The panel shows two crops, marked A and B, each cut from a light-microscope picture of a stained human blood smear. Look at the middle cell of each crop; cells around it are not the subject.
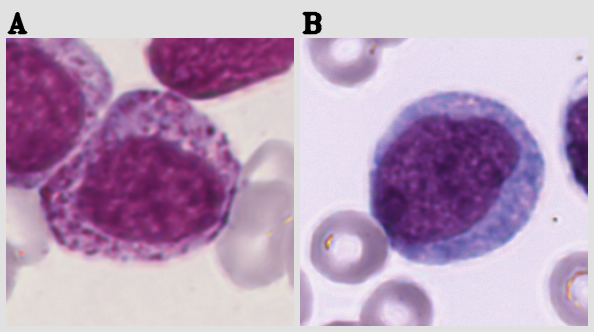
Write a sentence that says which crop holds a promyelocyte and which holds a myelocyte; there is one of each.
The cell at the centre of crop A is a myelocyte, and at the centre of crop B, a promyelocyte.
